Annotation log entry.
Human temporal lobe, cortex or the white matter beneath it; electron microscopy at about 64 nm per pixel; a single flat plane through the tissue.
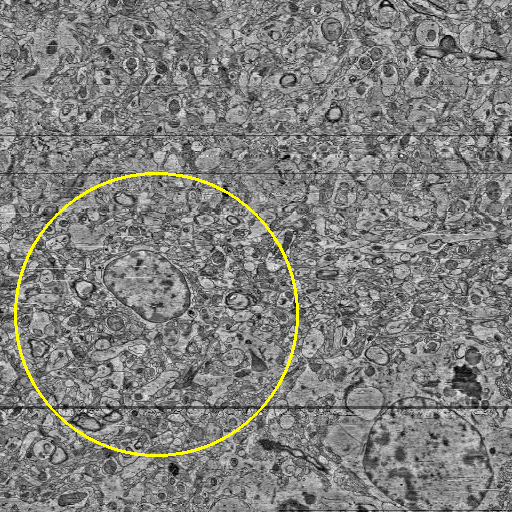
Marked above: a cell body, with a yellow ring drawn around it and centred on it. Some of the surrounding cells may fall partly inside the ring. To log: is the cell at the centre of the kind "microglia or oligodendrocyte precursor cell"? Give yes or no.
Yes, the cell at the centre is of that kind.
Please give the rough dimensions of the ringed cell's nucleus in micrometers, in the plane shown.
Roughly 6 by 4 micrometres in this plane, for the nucleus of the ringed cell.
